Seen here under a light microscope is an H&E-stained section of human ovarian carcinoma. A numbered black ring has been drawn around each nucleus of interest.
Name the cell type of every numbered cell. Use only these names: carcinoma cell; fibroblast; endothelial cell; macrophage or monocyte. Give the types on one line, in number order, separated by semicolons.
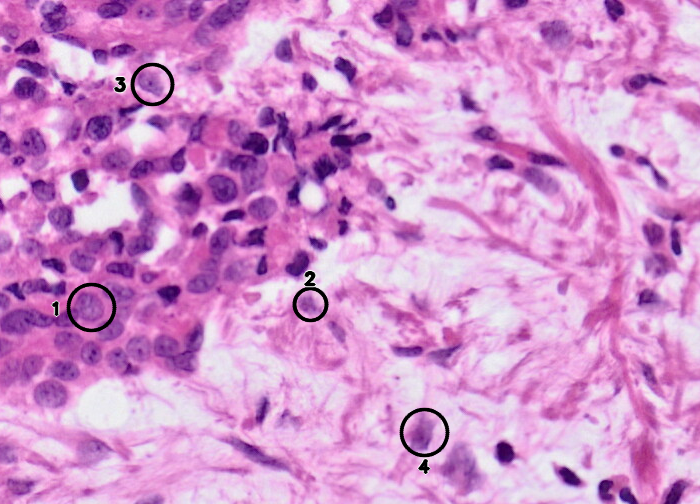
carcinoma cell; fibroblast; macrophage or monocyte; fibroblast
